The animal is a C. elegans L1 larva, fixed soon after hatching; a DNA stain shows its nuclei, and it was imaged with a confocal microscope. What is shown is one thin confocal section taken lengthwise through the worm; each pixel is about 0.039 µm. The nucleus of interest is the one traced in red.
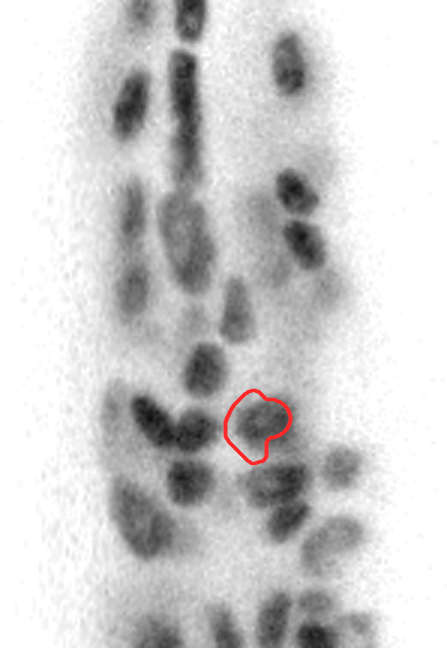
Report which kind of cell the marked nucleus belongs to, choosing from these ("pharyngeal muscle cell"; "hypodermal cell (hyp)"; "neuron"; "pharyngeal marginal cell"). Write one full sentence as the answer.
This is the nucleus of a pharyngeal marginal cell.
